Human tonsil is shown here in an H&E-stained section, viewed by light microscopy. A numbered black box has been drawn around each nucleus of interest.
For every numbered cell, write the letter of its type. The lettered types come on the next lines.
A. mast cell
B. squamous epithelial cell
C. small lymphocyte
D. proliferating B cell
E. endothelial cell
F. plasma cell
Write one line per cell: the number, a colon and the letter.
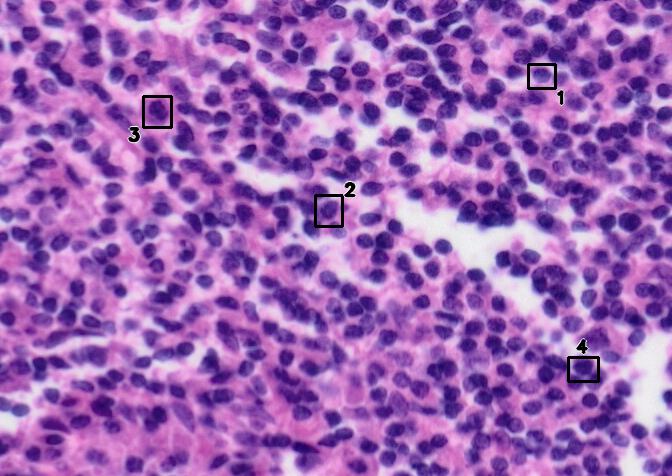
1: C
2: C
3: F
4: C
